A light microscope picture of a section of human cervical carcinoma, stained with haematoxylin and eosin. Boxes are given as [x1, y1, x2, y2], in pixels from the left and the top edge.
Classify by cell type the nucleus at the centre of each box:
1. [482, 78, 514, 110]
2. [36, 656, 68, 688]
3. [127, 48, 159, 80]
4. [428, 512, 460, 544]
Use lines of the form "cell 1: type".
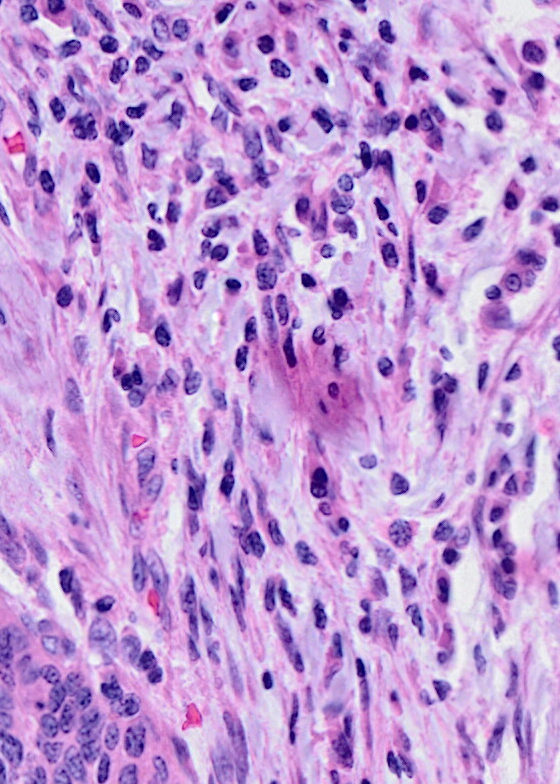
cell 1: lymphocyte
cell 2: squamous carcinoma cell
cell 3: lymphocyte
cell 4: lymphocyte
